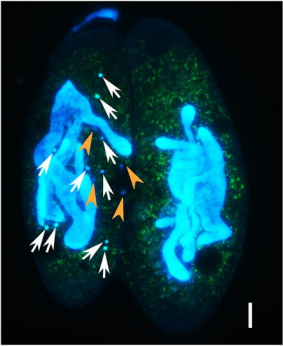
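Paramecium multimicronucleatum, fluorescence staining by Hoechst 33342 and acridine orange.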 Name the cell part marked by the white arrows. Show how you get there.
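Small bright dot-like nuclei scattered beside the large coiled nucleus.
Hence: degenerating nuclei.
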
